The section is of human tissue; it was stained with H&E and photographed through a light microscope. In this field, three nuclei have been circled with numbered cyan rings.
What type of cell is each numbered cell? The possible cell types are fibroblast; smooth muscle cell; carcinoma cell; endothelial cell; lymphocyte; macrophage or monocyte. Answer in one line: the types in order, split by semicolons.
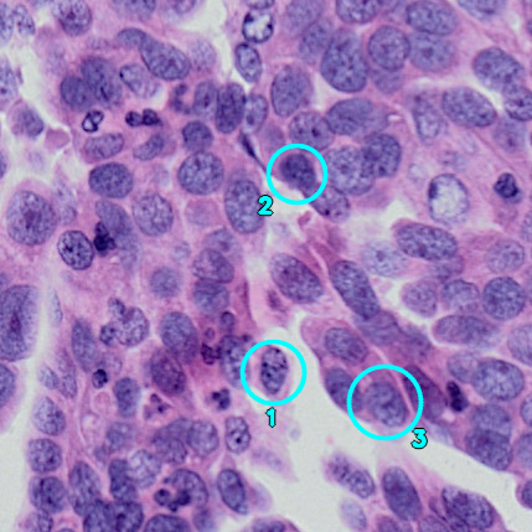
macrophage or monocyte; carcinoma cell; carcinoma cell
